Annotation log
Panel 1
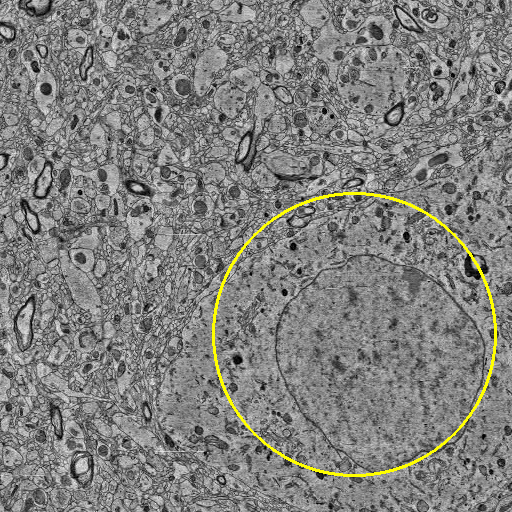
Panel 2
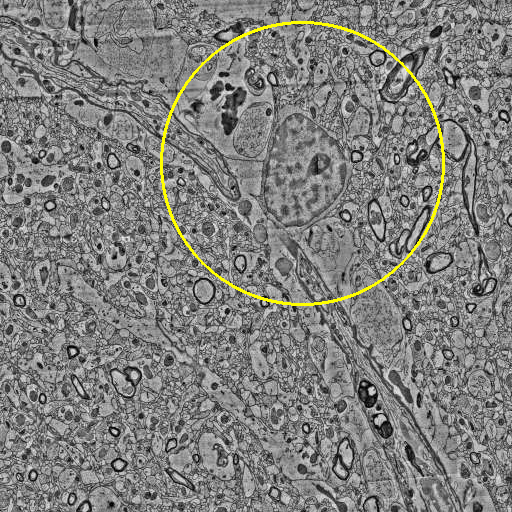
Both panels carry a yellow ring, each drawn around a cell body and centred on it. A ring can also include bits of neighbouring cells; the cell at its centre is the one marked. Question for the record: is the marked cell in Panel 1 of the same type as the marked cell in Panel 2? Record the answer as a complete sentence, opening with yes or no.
No, the marked cells in Panel 1 and Panel 2 are of two types.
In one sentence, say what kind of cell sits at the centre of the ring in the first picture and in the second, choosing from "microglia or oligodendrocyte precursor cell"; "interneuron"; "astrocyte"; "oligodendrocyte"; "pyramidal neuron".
The first picture's ringed cell is a pyramidal neuron, while the second picture's is an oligodendrocyte.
